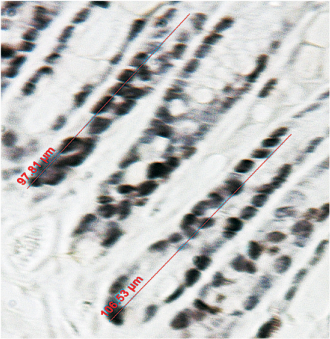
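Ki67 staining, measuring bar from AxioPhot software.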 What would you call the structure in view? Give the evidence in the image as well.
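Elongated, parallel tubular glands run diagonally across the field. Each tube is lined by a row of closely packed epithelial nuclei.
Answer: crypt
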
